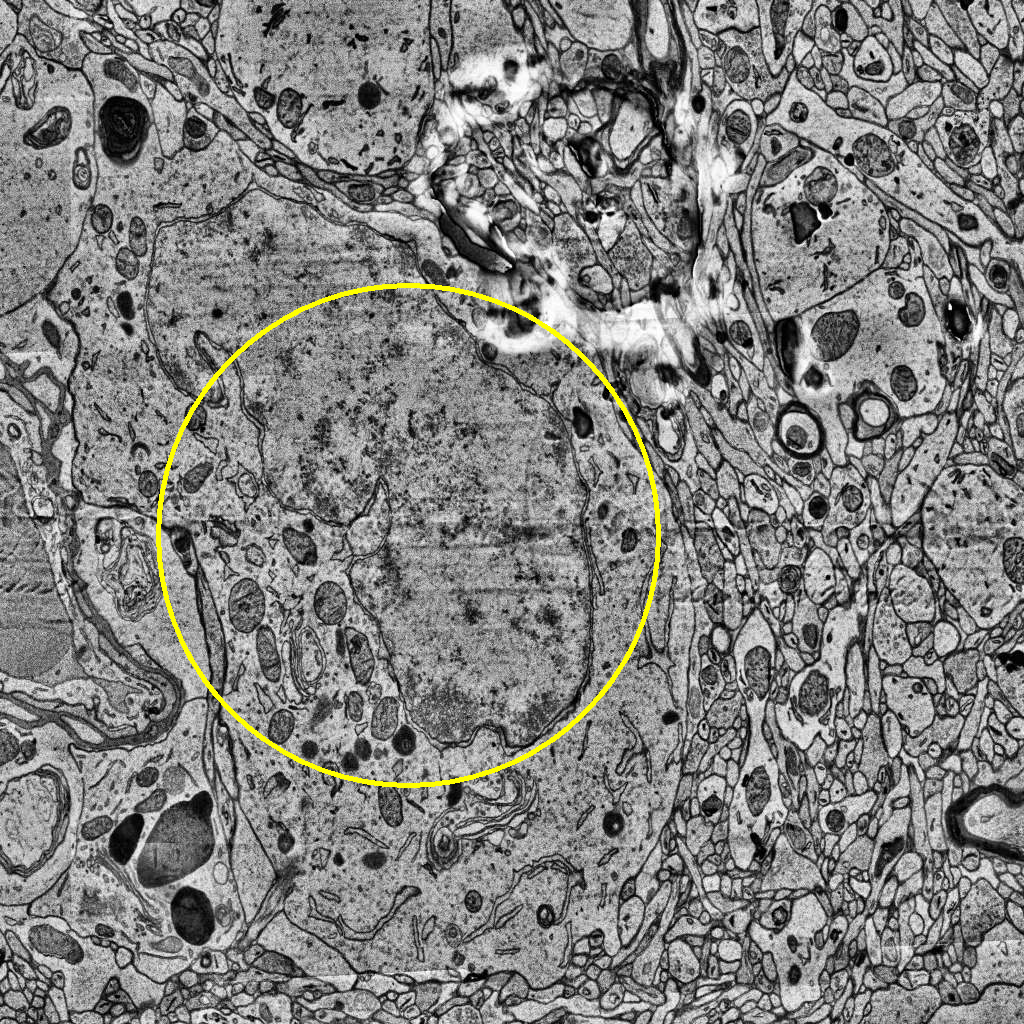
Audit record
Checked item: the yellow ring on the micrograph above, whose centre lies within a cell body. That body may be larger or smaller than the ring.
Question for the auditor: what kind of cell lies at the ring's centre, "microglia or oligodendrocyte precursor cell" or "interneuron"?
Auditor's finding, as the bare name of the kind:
interneuron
